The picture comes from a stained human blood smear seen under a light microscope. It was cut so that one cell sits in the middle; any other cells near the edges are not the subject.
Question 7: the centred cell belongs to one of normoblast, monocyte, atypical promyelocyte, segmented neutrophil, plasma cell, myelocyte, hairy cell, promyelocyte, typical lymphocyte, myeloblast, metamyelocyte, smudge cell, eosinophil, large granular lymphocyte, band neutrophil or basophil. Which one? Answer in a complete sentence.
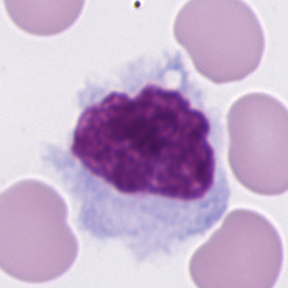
Standing at the centre of this crop is a hairy cell.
